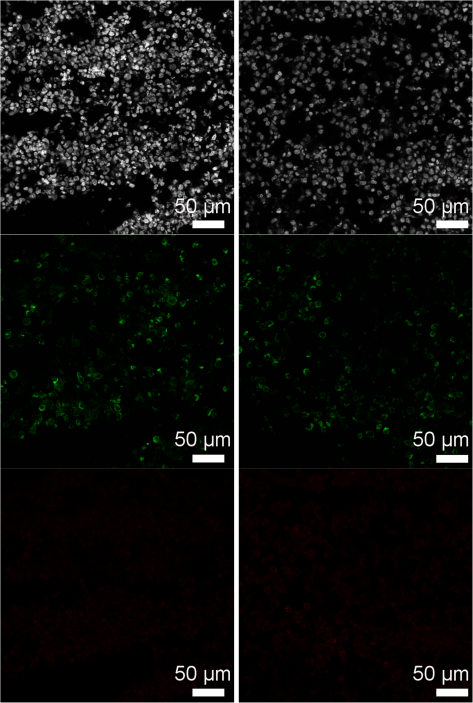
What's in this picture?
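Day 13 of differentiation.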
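The top row shows many small, round nuclei packed tightly in broad bands and clusters, separated by dark gaps. In the green row the signal forms small rings around scattered, rounded cells rather than a spread filament network. The red row is almost completely dark, with barely any signal over the cells.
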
